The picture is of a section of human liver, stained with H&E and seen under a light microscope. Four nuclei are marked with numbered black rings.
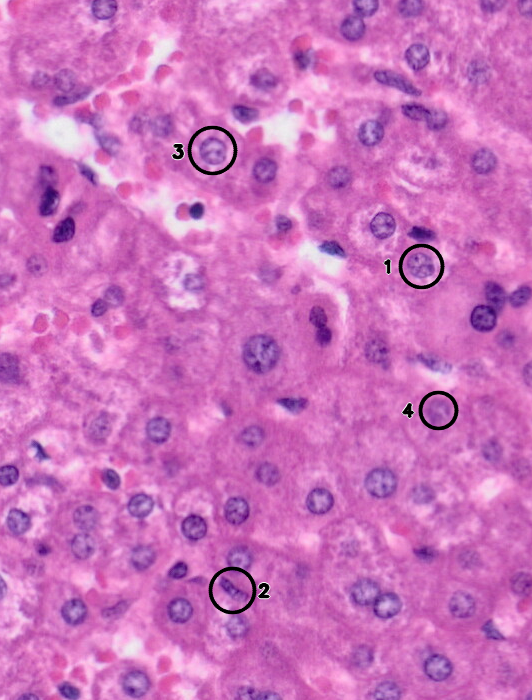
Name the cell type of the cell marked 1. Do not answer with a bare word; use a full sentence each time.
Cell 1, as marked in the section, is a hepatocyte.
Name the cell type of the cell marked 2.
Cell 2 should be recorded as a fibroblast or stellate cell.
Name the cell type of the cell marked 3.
The cell marked with the number 3 is a hepatocyte.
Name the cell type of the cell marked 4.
Identified as a hepatocyte is the cell bearing the number 4.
